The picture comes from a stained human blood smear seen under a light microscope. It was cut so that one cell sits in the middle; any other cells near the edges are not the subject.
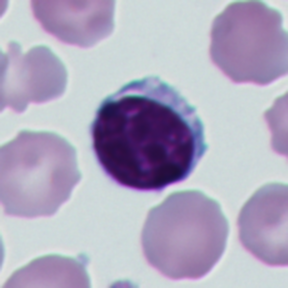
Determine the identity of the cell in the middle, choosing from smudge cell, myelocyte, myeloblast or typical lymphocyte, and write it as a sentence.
This particular crop is centered on a typical lymphocyte.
